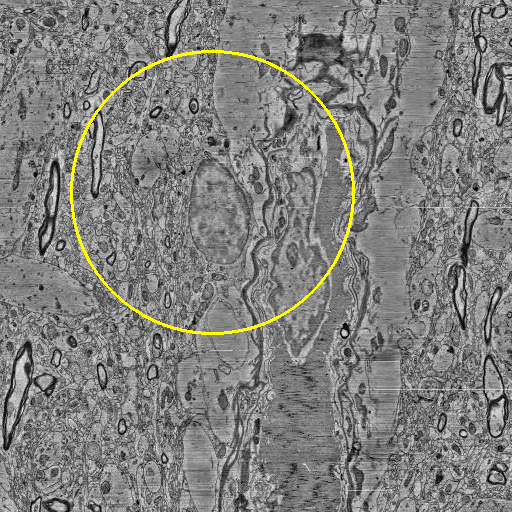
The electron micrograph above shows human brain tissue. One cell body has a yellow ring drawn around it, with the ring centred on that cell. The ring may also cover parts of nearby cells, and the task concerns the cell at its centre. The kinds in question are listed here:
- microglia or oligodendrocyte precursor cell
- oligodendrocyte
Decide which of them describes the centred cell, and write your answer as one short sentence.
The centred cell is an oligodendrocyte.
